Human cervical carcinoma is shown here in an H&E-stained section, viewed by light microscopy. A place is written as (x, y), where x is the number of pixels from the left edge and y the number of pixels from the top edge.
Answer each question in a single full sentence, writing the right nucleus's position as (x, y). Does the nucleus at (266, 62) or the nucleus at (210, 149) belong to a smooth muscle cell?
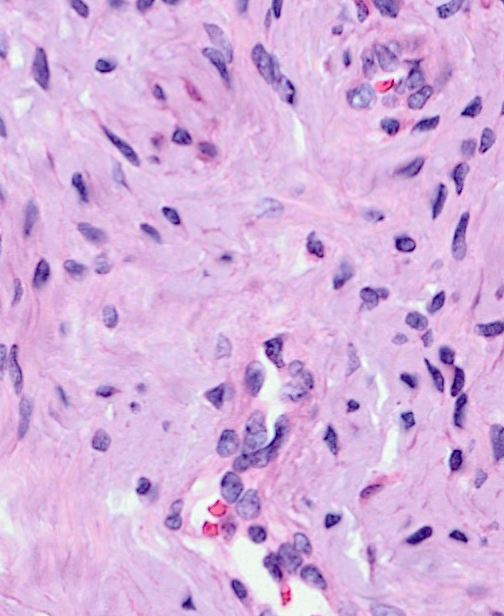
Between the pair, the nucleus at (210, 149) belongs to a smooth muscle cell.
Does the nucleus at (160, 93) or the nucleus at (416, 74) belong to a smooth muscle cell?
Of the two, the nucleus lying at (160, 93) is the one belonging to a smooth muscle cell.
